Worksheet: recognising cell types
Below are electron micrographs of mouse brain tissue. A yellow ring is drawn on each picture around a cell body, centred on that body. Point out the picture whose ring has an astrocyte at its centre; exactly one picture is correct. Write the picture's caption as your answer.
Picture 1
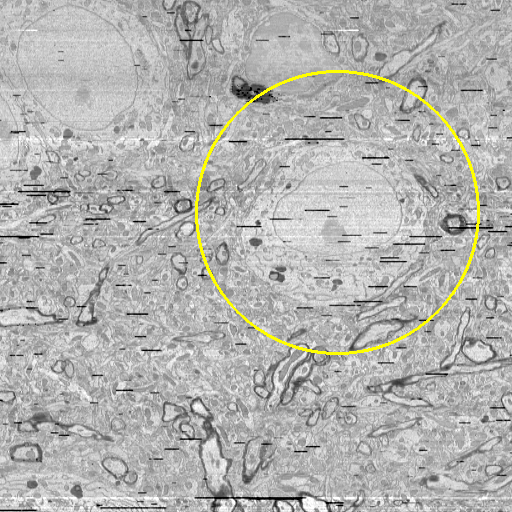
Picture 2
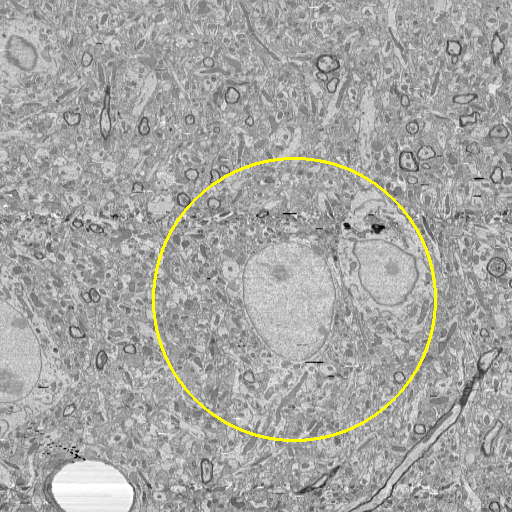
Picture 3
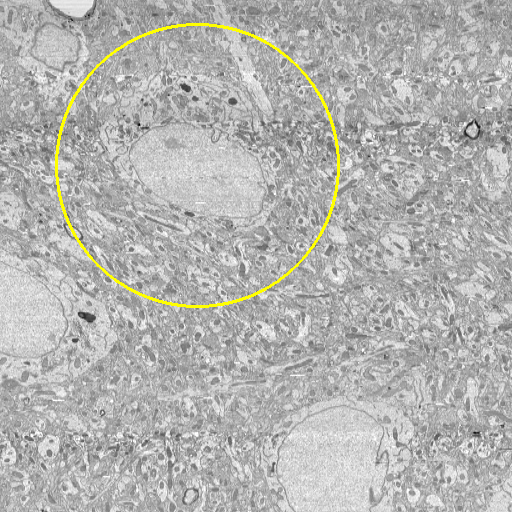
Picture 2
